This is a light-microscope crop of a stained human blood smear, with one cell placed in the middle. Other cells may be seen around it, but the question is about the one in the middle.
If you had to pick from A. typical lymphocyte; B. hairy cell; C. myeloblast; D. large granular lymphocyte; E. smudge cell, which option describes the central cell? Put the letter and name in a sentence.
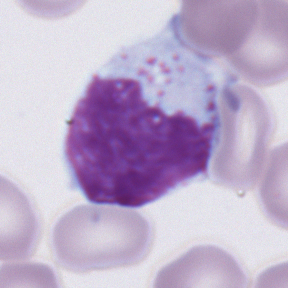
The cell in the centre of the crop is a large granular lymphocyte, so option D is the correct one.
